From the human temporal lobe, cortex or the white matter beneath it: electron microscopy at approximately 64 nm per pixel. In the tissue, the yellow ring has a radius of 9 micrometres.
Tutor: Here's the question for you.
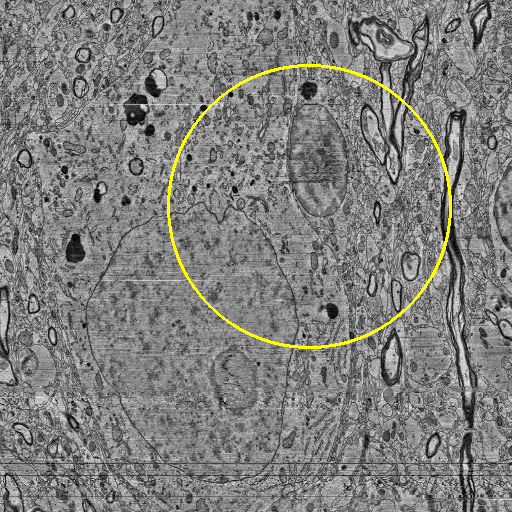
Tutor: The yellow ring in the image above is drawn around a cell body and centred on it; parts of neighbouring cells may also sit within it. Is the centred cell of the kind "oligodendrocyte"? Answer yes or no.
yes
